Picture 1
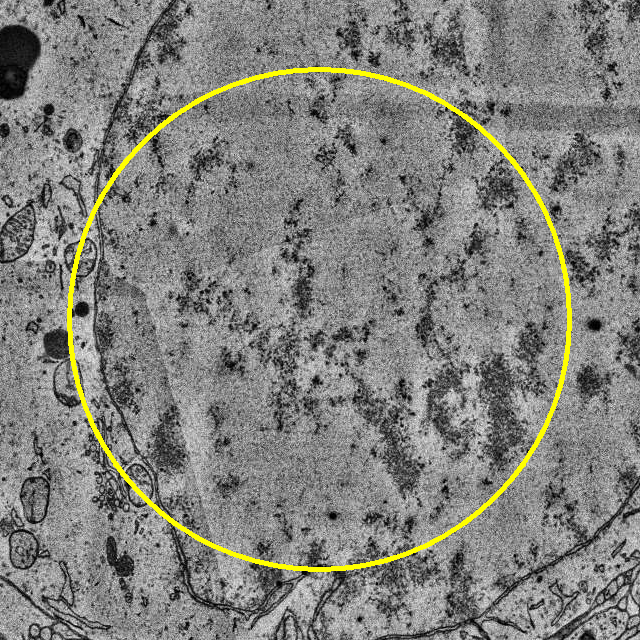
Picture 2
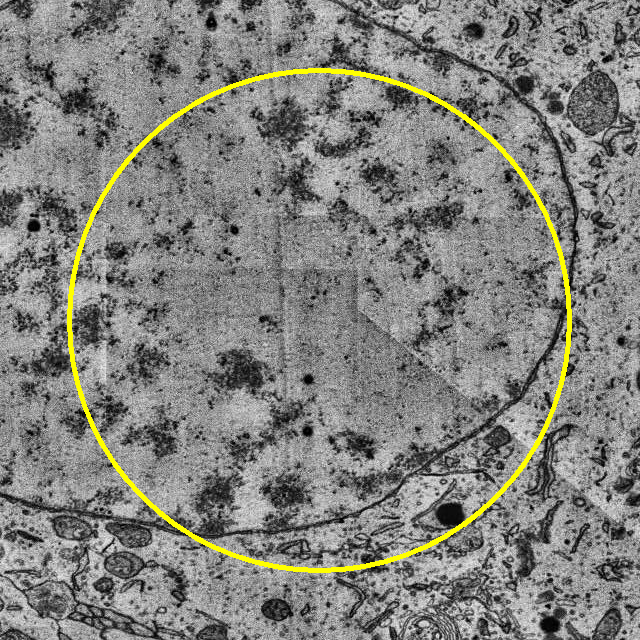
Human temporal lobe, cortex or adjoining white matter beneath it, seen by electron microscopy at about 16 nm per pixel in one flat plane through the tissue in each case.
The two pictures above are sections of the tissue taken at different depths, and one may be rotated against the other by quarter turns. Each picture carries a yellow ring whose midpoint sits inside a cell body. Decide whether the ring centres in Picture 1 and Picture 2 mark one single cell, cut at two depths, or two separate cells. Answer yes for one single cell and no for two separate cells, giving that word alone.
no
